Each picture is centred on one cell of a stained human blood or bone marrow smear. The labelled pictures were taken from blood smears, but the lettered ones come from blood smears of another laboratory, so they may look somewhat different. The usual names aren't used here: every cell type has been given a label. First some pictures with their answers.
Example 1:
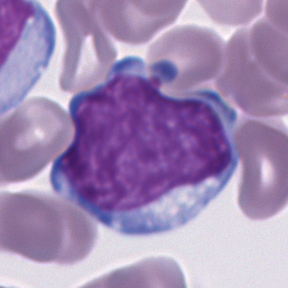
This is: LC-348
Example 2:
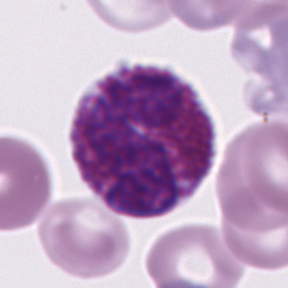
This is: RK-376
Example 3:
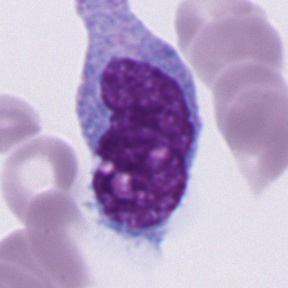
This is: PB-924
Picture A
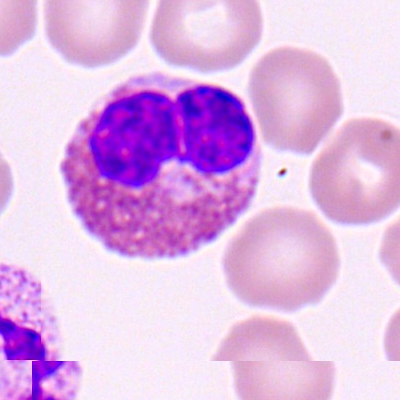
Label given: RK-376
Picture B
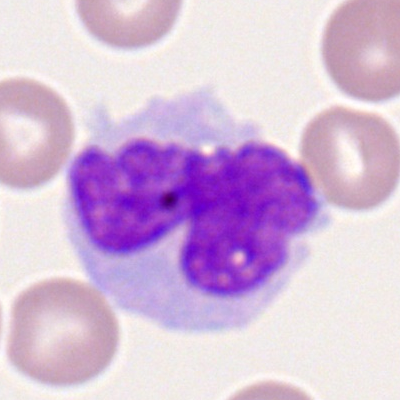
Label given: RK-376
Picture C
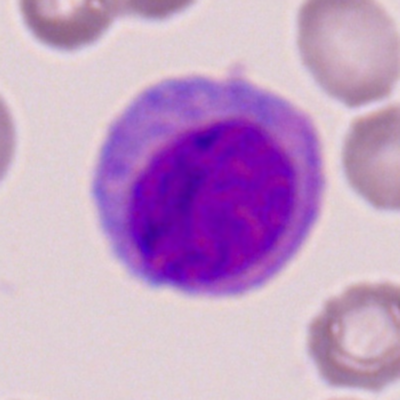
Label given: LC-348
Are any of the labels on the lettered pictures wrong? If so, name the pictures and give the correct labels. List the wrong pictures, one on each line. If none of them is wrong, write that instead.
B: PB-924, not RK-376
C: PB-924, not LC-348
